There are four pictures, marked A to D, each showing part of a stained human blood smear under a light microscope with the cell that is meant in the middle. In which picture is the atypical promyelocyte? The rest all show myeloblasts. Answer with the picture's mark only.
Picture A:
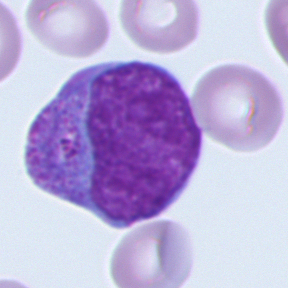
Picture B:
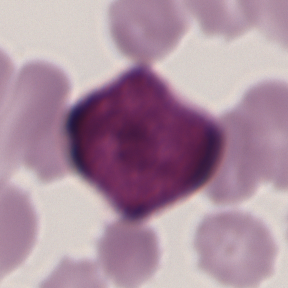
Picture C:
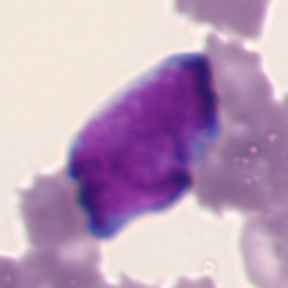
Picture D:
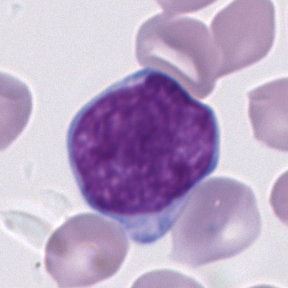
A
